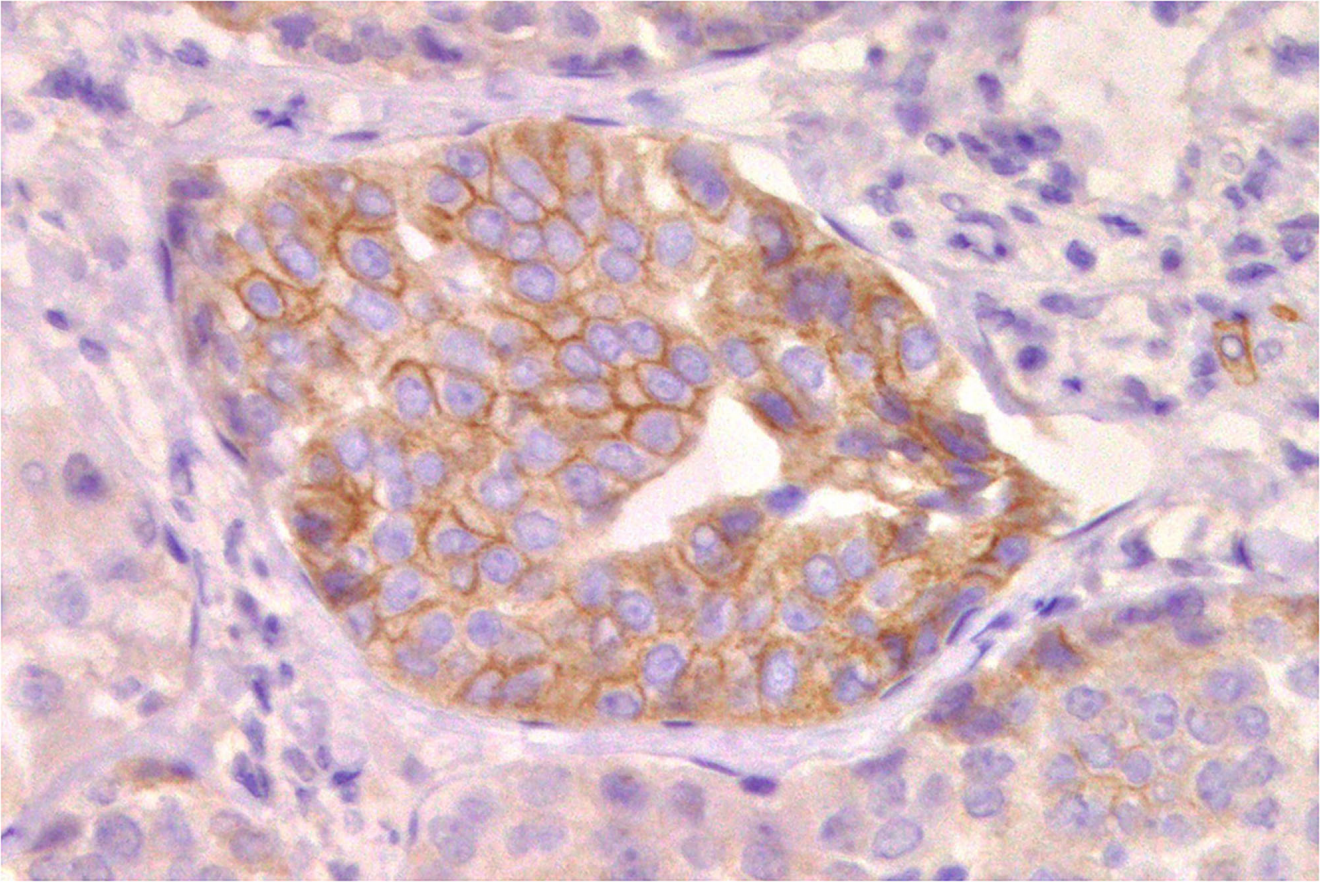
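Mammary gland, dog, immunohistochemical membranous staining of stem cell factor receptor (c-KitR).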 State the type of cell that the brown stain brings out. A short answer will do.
Neoplastic cells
